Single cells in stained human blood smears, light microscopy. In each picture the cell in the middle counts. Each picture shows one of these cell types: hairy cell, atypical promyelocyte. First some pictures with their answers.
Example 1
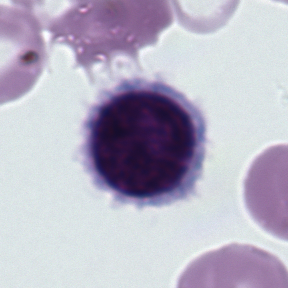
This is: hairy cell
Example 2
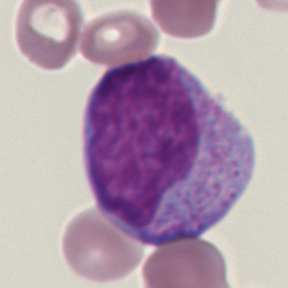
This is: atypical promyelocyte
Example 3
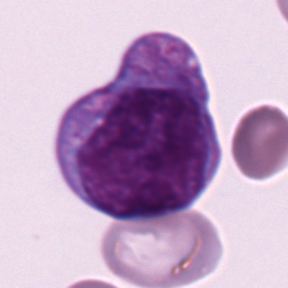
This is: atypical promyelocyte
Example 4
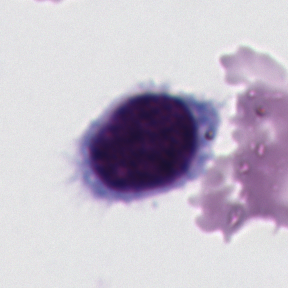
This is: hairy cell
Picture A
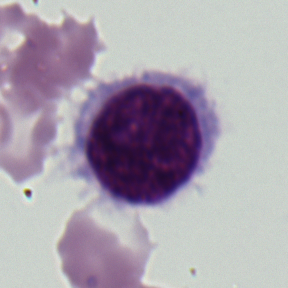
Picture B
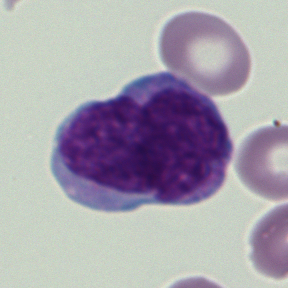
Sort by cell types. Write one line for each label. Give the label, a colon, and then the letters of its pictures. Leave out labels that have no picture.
hairy cell: A
atypical promyelocyte: B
